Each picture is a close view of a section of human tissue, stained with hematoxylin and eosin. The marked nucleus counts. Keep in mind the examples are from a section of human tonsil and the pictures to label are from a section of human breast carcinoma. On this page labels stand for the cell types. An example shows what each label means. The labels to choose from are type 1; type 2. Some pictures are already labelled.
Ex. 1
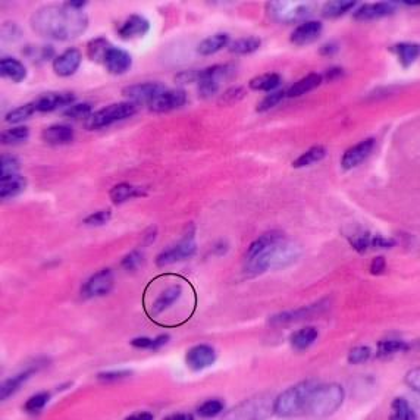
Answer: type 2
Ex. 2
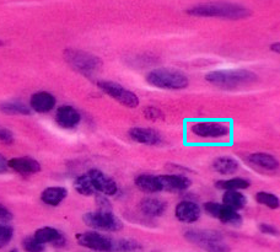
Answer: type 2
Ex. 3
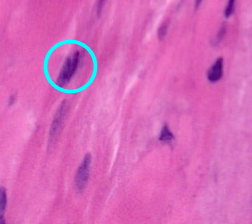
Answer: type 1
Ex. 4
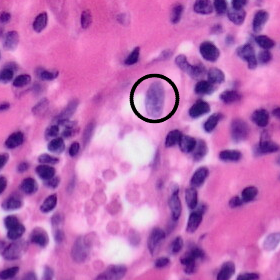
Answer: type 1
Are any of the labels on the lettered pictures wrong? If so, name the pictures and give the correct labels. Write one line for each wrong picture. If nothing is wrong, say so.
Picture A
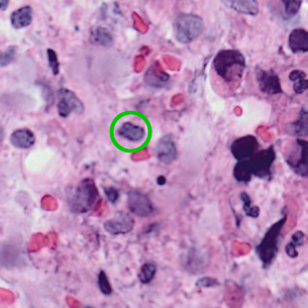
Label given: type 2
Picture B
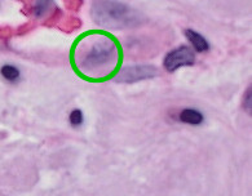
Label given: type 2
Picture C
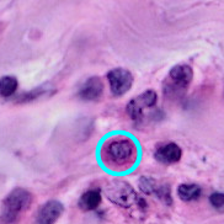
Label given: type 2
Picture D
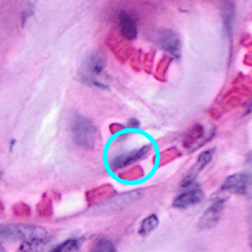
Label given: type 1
Wrong: B (type 2); correct: type 1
